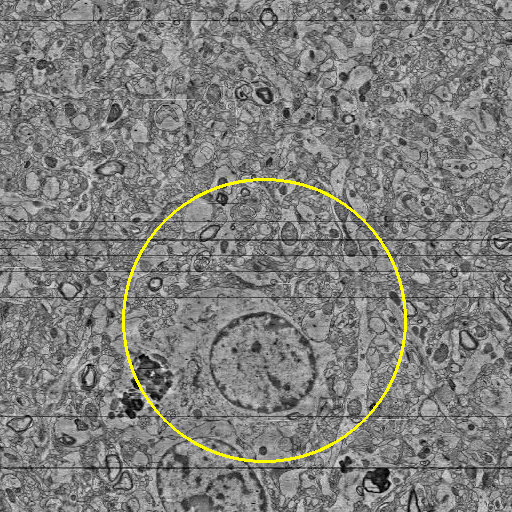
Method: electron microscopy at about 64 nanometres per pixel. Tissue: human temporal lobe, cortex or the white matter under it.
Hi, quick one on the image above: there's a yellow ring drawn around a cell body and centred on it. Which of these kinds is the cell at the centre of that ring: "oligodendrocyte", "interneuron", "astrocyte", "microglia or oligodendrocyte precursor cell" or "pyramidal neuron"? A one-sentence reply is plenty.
The cell at the centre of the ring is an astrocyte.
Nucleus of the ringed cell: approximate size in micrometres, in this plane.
In this plane, the nucleus measures approximately 7 micrometres across.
